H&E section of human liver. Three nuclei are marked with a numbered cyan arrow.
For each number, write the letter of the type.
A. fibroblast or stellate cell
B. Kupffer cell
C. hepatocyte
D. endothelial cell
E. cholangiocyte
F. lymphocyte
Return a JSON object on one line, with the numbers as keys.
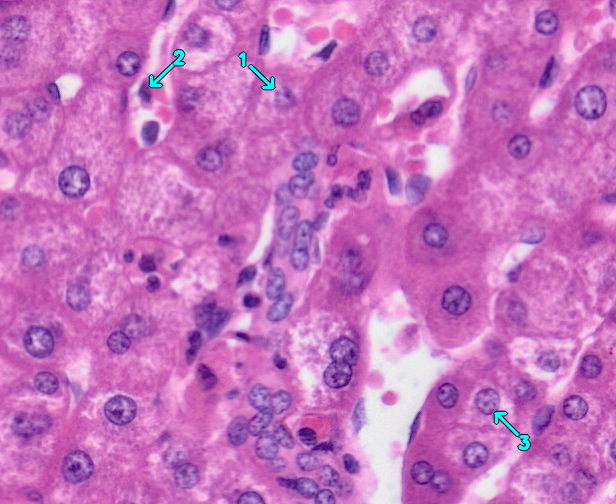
{"1": "C", "2": "B", "3": "C"}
